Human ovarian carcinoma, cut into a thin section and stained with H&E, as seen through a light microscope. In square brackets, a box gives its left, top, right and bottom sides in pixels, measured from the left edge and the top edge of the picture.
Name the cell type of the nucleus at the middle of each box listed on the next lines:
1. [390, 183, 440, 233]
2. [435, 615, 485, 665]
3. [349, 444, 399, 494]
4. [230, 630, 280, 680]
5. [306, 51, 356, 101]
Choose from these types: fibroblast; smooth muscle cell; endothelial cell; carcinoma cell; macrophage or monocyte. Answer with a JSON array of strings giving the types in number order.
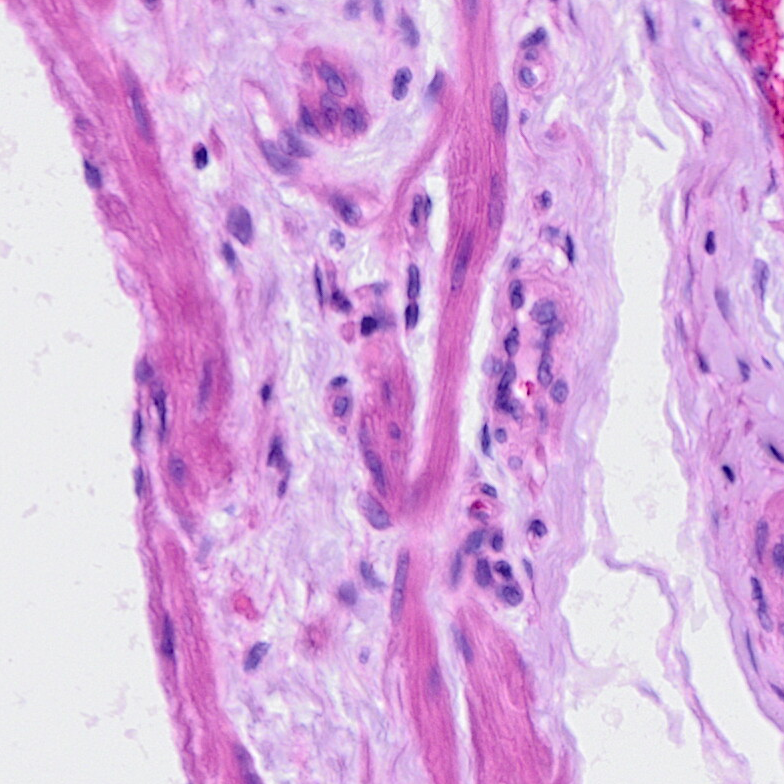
["endothelial cell", "smooth muscle cell", "smooth muscle cell", "macrophage or monocyte", "smooth muscle cell"]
